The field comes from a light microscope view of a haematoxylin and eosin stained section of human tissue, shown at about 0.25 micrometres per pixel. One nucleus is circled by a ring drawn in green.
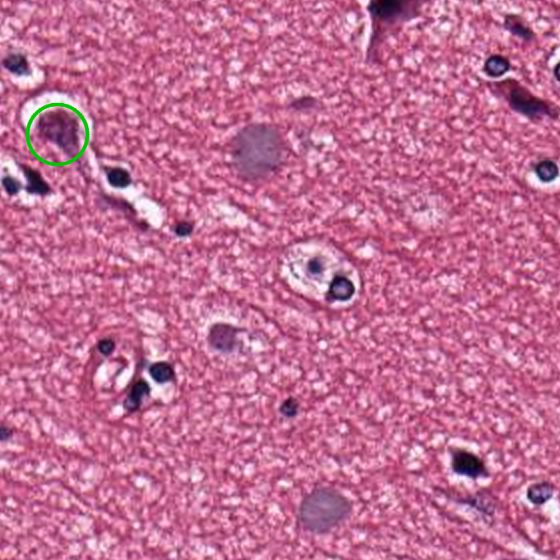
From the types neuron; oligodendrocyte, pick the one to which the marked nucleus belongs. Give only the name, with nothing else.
neuron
